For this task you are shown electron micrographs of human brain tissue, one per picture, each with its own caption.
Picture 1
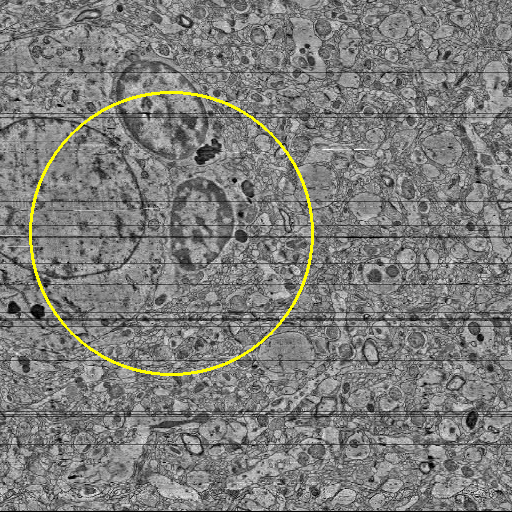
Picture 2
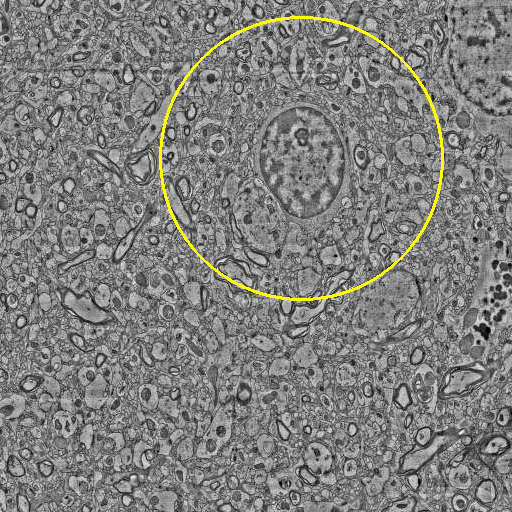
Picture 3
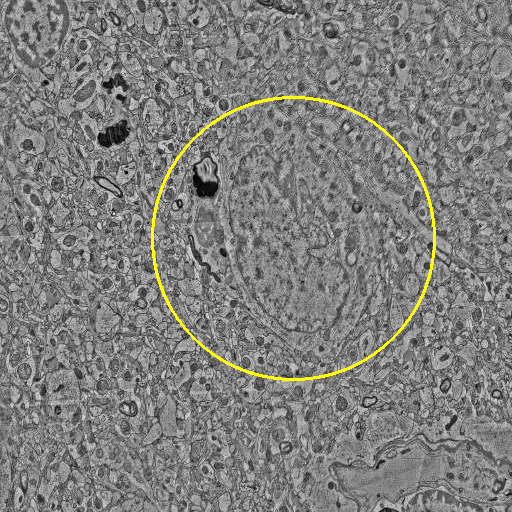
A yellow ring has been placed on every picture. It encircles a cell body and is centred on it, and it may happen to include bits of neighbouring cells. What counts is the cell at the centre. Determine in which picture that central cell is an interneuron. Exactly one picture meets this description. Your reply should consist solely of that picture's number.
3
